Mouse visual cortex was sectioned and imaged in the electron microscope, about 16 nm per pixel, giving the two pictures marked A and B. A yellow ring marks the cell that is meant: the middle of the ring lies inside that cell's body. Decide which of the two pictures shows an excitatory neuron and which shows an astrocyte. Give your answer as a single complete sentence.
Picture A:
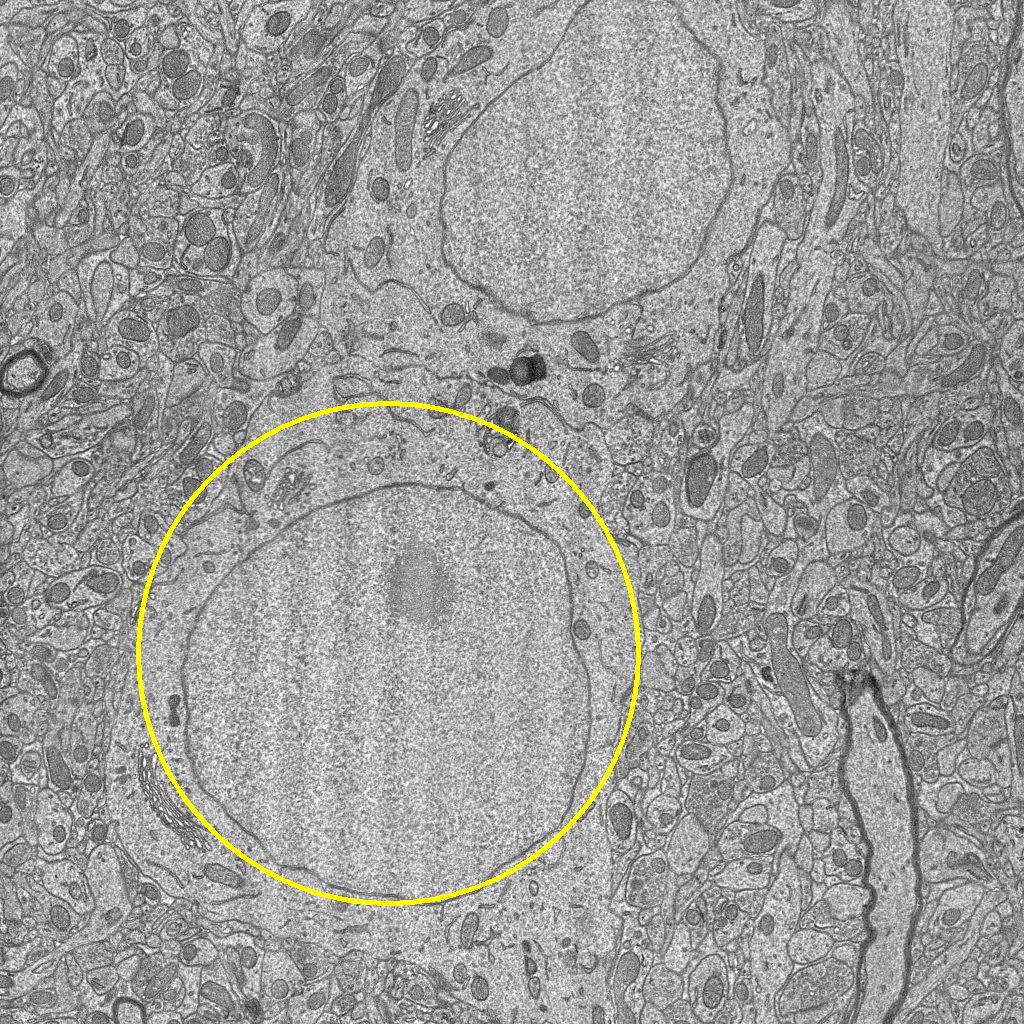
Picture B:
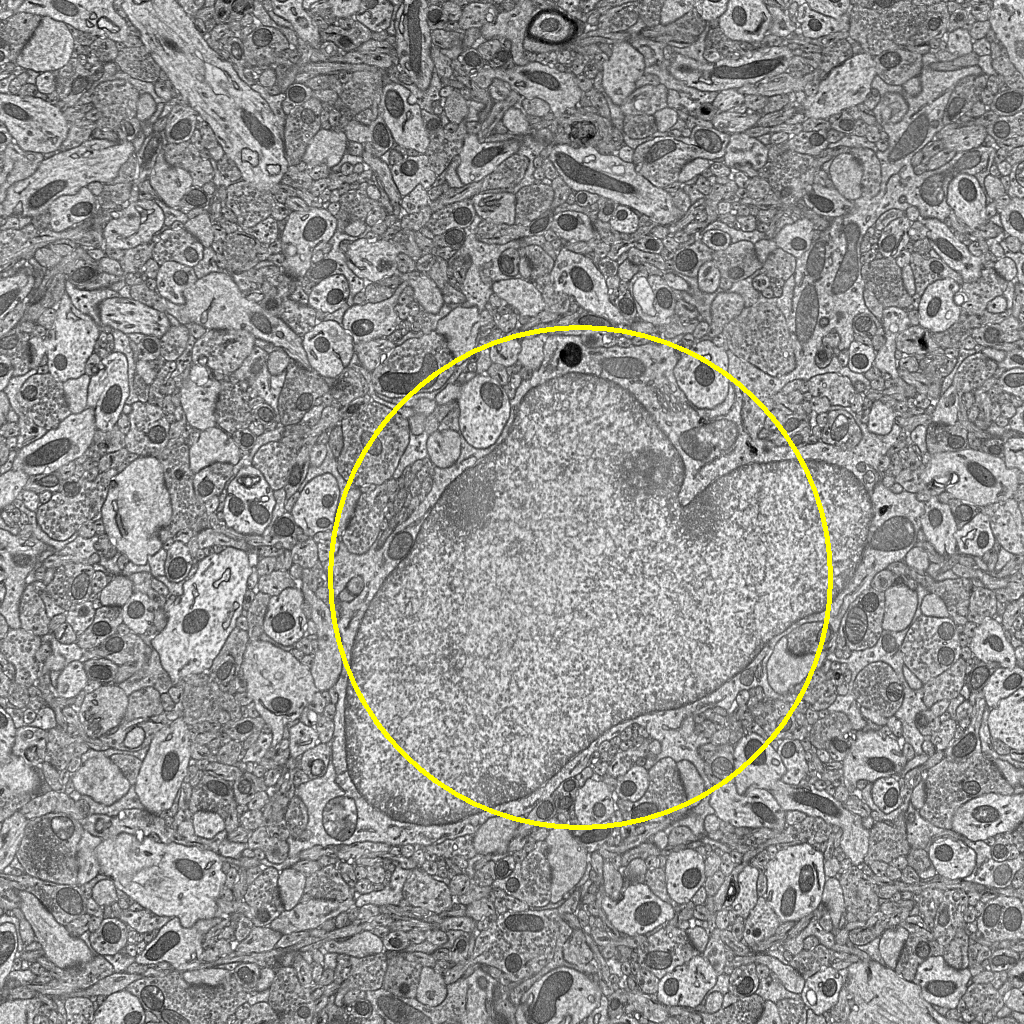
Picture A shows an excitatory neuron and picture B shows an astrocyte.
